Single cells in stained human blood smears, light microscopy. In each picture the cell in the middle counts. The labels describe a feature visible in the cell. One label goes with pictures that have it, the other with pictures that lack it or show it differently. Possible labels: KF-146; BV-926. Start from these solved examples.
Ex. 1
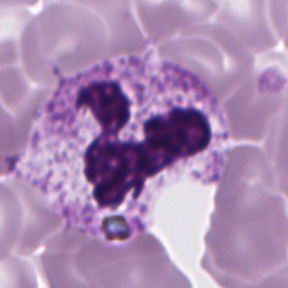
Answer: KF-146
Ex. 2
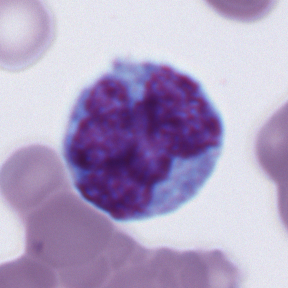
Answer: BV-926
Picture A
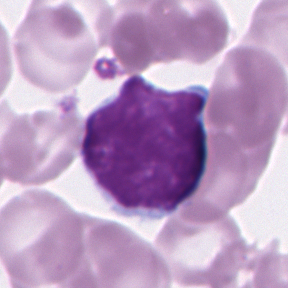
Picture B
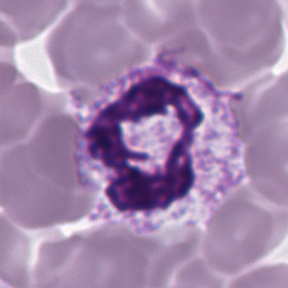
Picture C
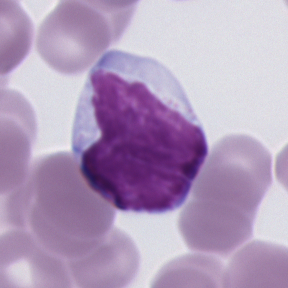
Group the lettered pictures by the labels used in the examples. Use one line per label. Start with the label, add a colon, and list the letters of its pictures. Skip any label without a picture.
KF-146: A, B
BV-926: C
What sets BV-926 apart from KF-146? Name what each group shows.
Seen in BV-926: smooth outline; seen in KF-146: ragged outline or projections.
